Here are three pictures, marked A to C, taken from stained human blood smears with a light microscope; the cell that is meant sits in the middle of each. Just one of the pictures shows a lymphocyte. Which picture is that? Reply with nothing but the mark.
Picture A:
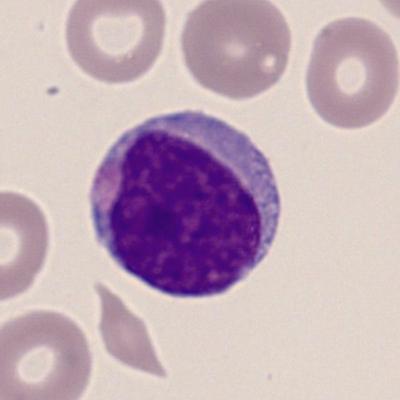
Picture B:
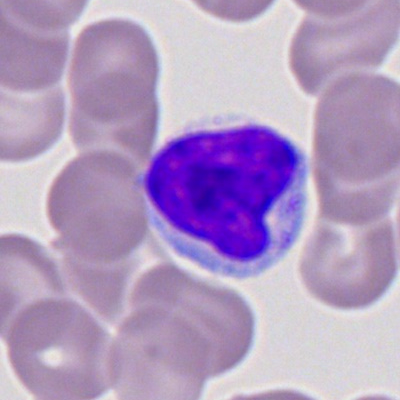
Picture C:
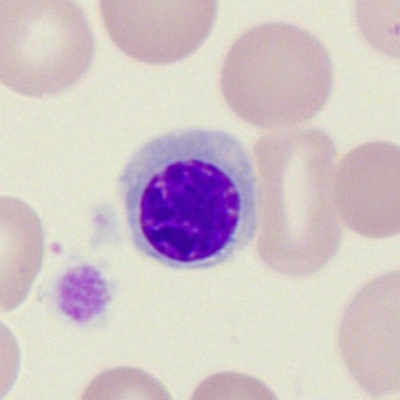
B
